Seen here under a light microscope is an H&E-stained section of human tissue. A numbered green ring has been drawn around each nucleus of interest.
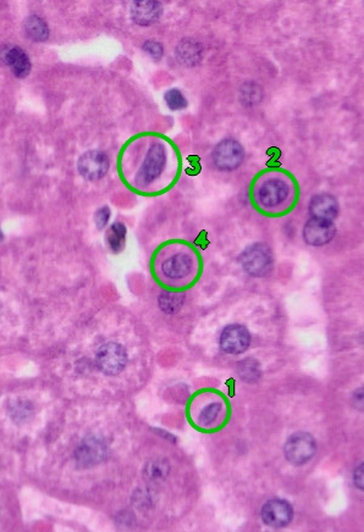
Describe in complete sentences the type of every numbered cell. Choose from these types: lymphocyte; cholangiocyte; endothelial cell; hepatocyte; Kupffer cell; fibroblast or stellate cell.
Cell 1 is a fibroblast or stellate cell, cell 2 is a hepatocyte, cell 3 is a Kupffer cell and cell 4 is a hepatocyte.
